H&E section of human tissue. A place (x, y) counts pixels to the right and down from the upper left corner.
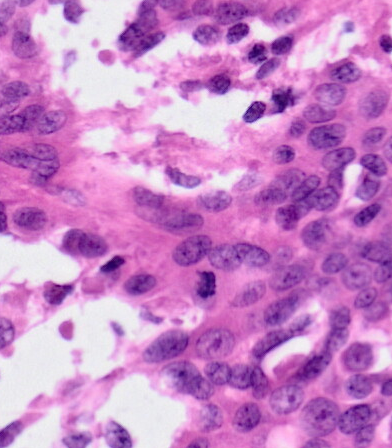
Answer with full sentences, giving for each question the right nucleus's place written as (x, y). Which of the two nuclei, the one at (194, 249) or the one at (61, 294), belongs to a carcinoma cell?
The nucleus that belongs to a carcinoma cell is located at (194, 249).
